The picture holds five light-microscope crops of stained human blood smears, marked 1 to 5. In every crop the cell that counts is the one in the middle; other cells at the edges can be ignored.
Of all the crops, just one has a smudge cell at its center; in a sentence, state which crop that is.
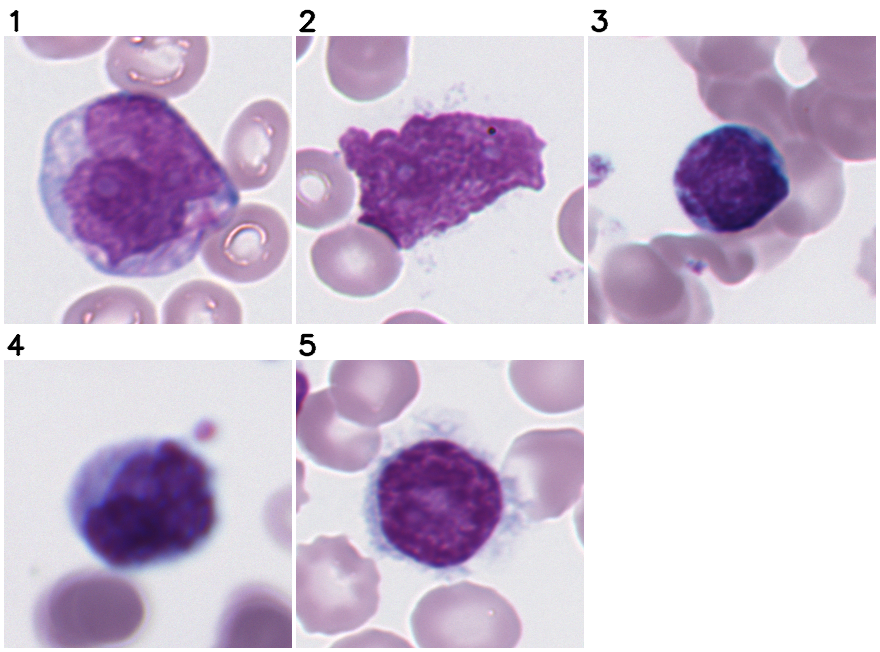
It is crop 2, not any other, that shows a smudge cell.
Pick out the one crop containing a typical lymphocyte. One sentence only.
The cell at the center of crop 3 is the one that is a typical lymphocyte.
